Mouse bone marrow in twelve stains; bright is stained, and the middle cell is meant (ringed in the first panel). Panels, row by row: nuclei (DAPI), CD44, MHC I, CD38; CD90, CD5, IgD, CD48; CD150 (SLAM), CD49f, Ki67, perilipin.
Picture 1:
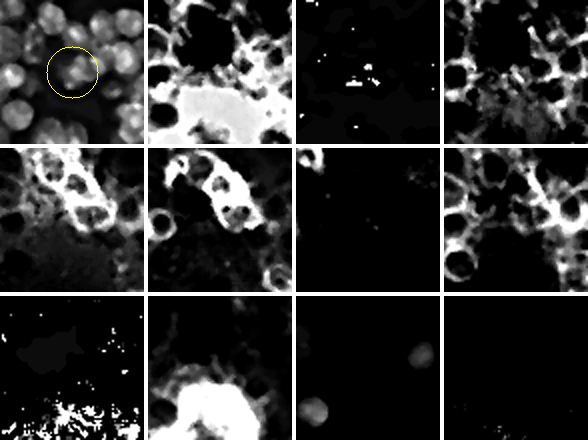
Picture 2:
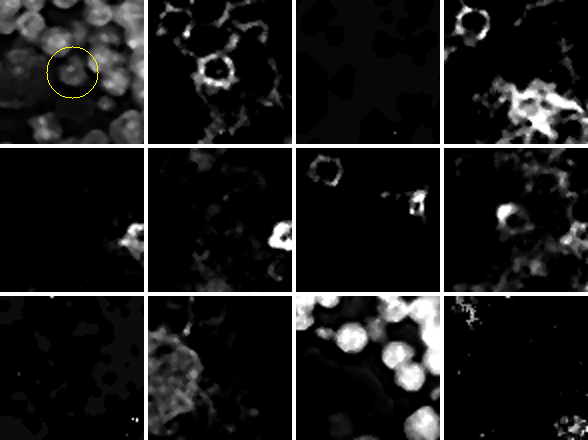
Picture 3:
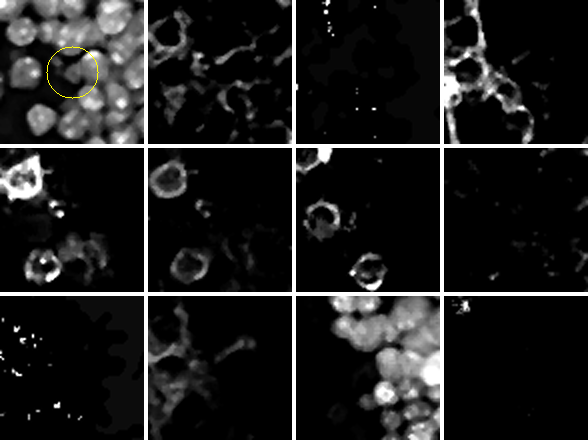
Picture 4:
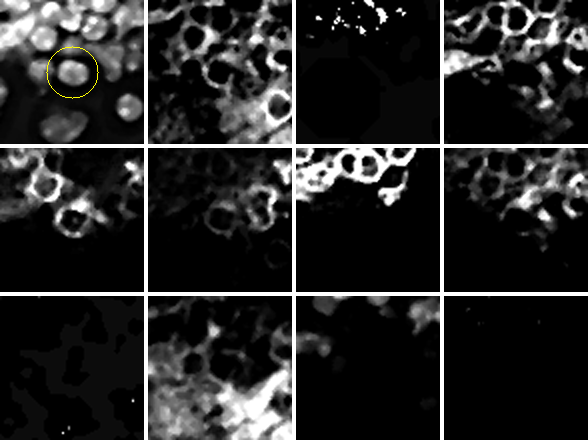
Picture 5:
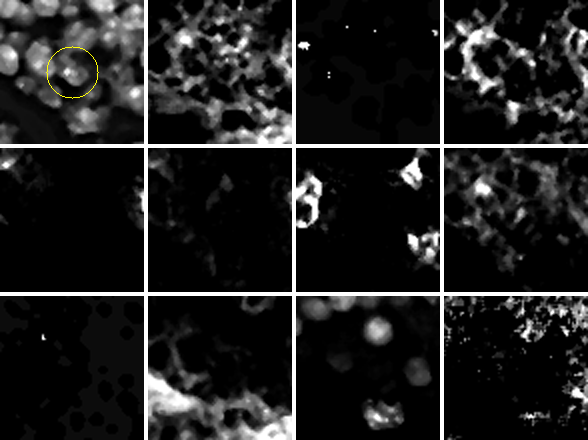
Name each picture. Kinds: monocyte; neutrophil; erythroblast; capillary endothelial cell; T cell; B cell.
1. B cell
2. monocyte
3. erythroblast
4. T cell
5. capillary endothelial cell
